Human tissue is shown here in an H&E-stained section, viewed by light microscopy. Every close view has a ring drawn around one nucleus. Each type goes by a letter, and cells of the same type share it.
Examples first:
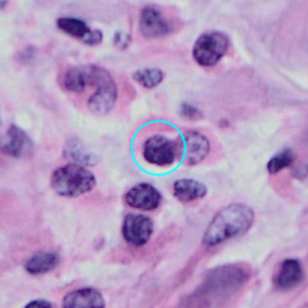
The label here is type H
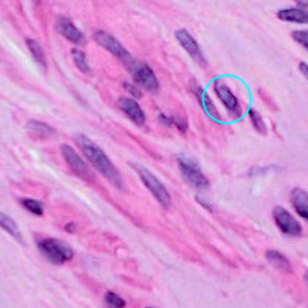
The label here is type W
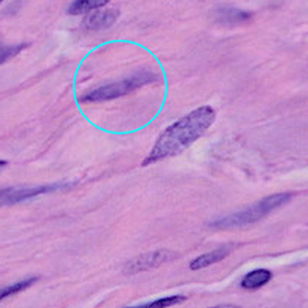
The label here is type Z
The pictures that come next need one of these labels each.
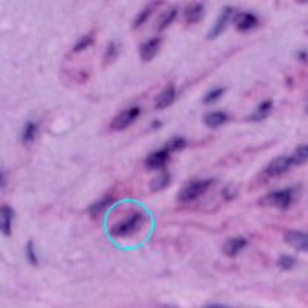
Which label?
type W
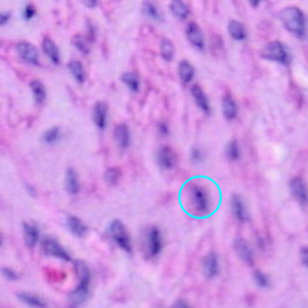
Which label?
type W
